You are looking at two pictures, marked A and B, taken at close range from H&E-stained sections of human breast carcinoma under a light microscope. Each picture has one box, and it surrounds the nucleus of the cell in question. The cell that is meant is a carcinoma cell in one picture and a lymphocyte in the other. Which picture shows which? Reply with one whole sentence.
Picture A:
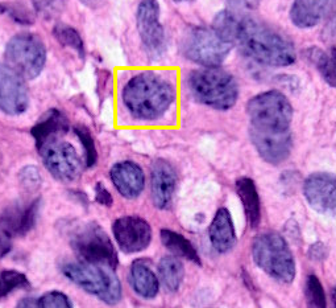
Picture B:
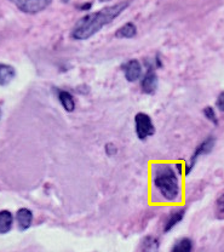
In picture A the cell is a carcinoma cell; in picture B, a lymphocyte.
